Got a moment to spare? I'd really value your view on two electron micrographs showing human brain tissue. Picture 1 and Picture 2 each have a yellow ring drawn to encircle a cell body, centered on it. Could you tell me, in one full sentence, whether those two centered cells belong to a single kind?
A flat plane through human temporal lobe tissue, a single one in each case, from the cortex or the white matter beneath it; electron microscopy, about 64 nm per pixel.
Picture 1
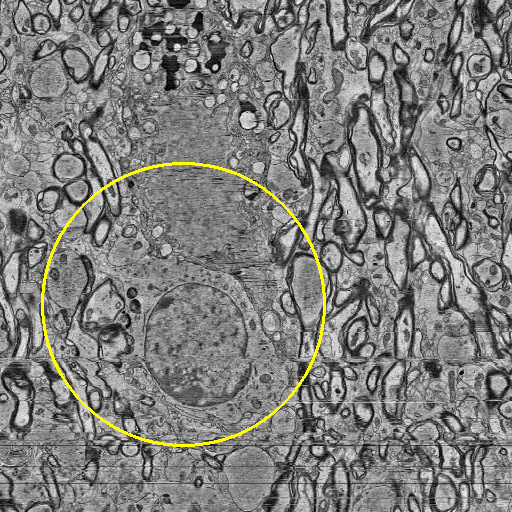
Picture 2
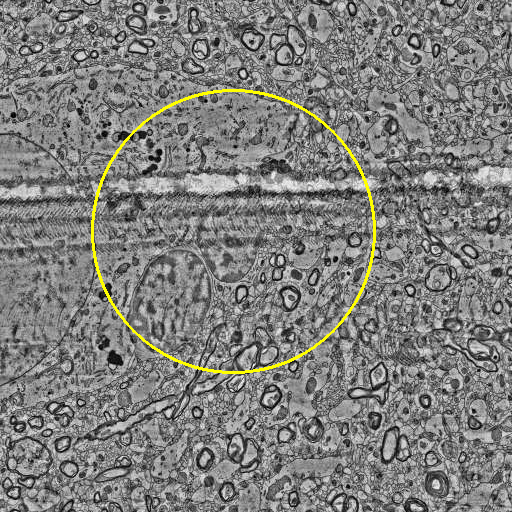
Yes, the two centered cells in Picture 1 and Picture 2 are of a single kind.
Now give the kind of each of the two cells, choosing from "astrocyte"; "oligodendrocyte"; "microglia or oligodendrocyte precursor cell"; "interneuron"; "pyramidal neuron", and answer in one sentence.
Each of the ringed cells, first and second, is a microglial cell or oligodendrocyte precursor cell.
